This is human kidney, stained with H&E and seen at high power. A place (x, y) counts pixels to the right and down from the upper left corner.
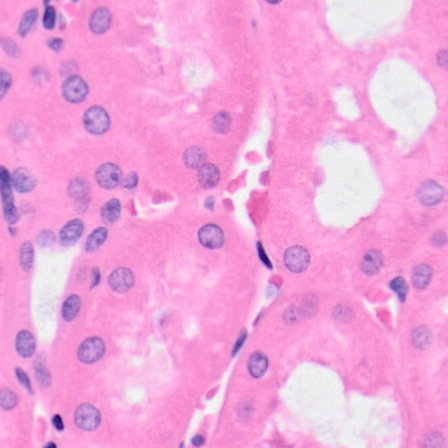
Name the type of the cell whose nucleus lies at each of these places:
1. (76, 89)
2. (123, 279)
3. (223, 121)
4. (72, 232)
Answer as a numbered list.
1. proximal tubule cell
2. proximal tubule cell
3. proximal tubule cell
4. collecting duct cell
